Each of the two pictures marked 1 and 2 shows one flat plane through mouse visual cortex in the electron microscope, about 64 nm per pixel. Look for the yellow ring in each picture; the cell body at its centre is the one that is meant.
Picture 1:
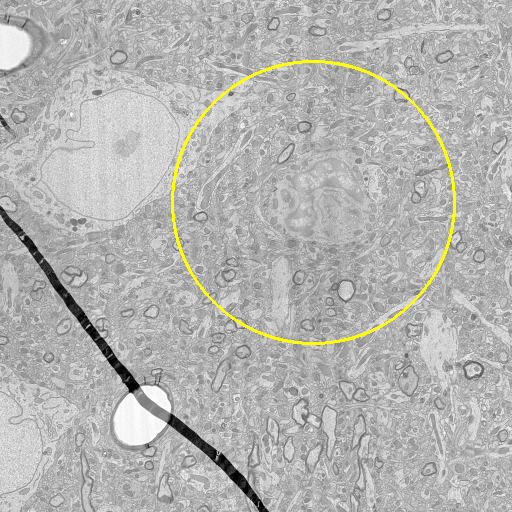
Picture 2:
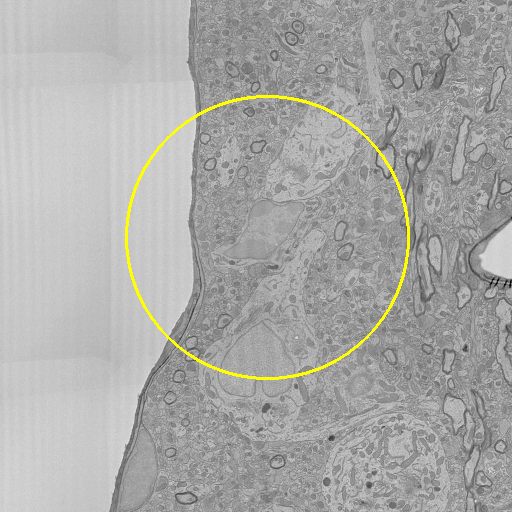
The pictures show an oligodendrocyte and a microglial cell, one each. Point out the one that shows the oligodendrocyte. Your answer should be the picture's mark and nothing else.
1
